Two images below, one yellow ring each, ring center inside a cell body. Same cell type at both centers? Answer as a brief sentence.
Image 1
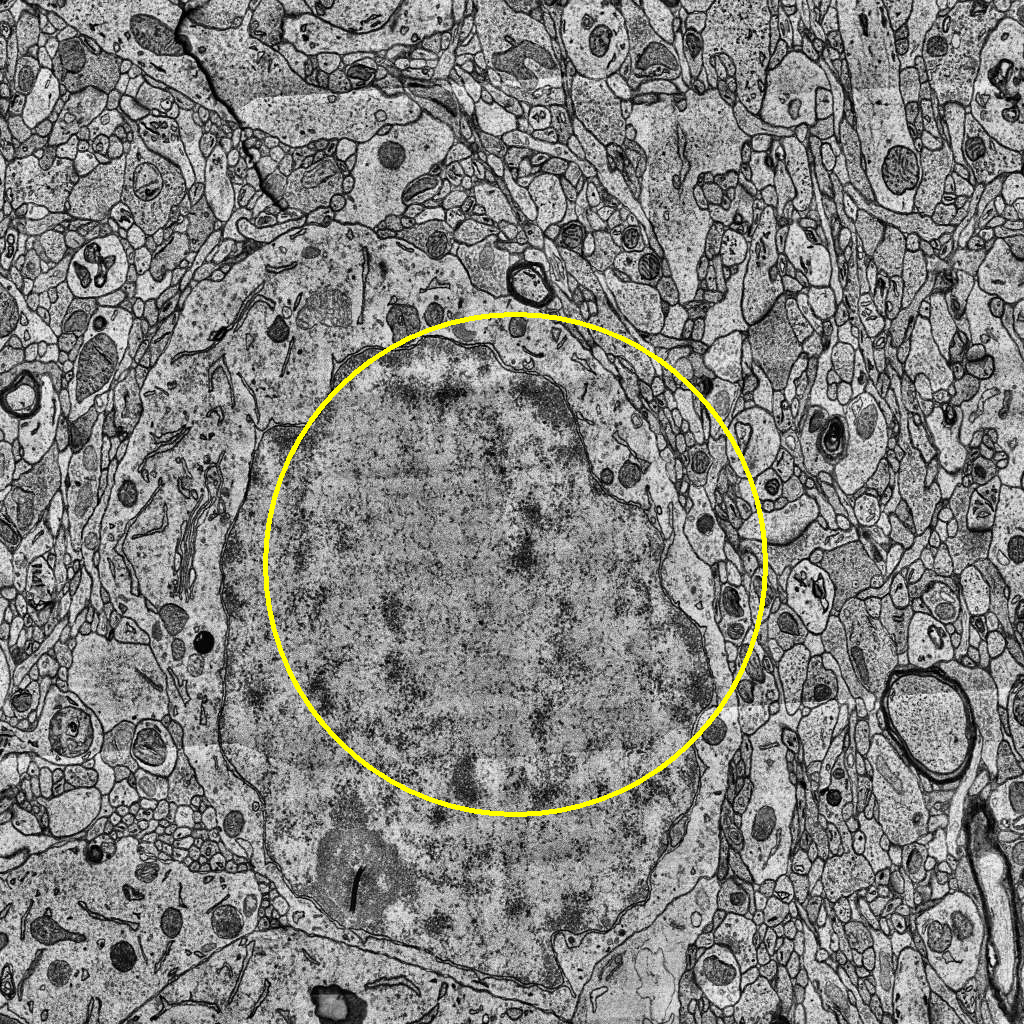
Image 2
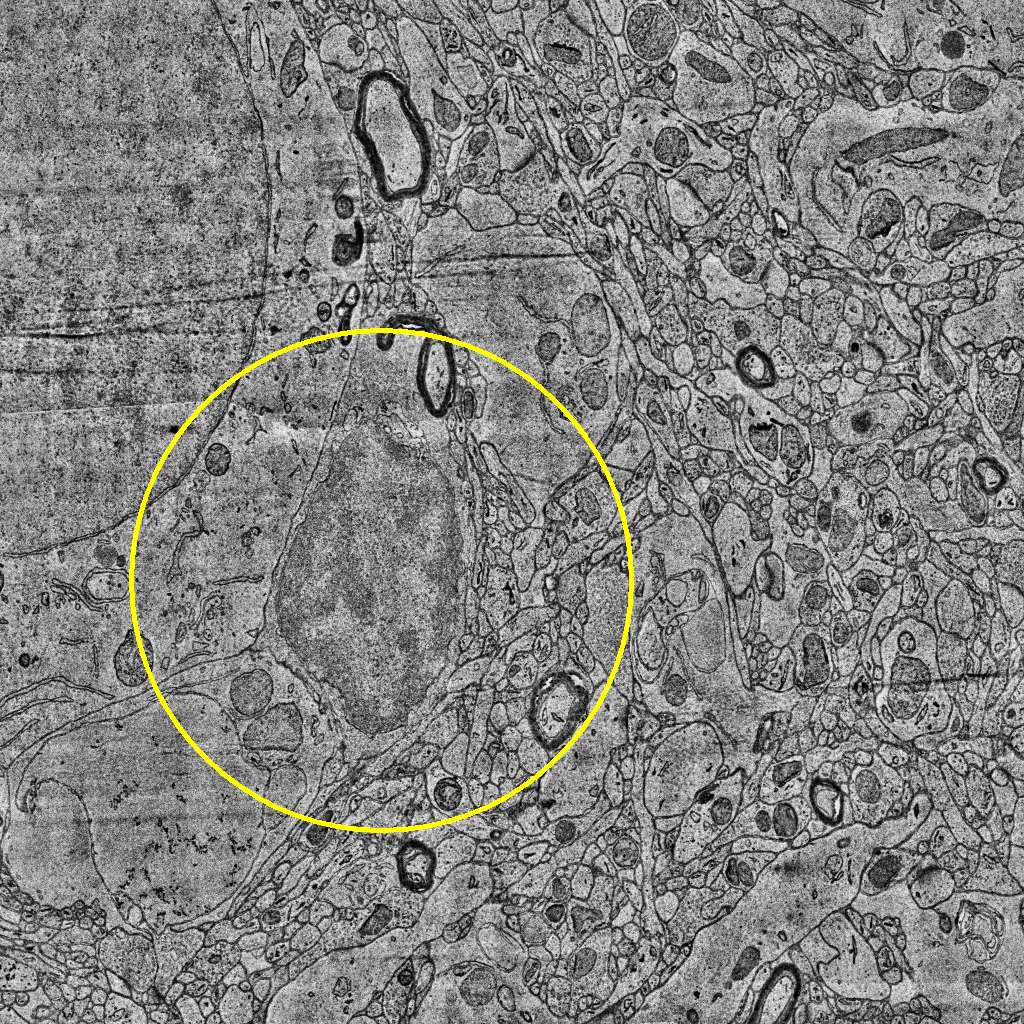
No, the cells are of two separate types.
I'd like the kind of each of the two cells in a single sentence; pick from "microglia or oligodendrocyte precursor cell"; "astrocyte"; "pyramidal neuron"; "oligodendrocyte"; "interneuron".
The cell at the centre of the second ring is an oligodendrocyte; the first ring's cell is an interneuron.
